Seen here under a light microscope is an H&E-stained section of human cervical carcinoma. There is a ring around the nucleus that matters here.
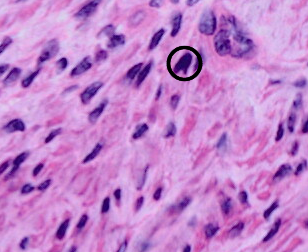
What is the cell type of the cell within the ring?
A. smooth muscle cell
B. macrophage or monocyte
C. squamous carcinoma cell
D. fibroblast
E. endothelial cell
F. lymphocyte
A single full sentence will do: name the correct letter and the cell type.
Hey, it is option F: the cell within the ring is a lymphocyte.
